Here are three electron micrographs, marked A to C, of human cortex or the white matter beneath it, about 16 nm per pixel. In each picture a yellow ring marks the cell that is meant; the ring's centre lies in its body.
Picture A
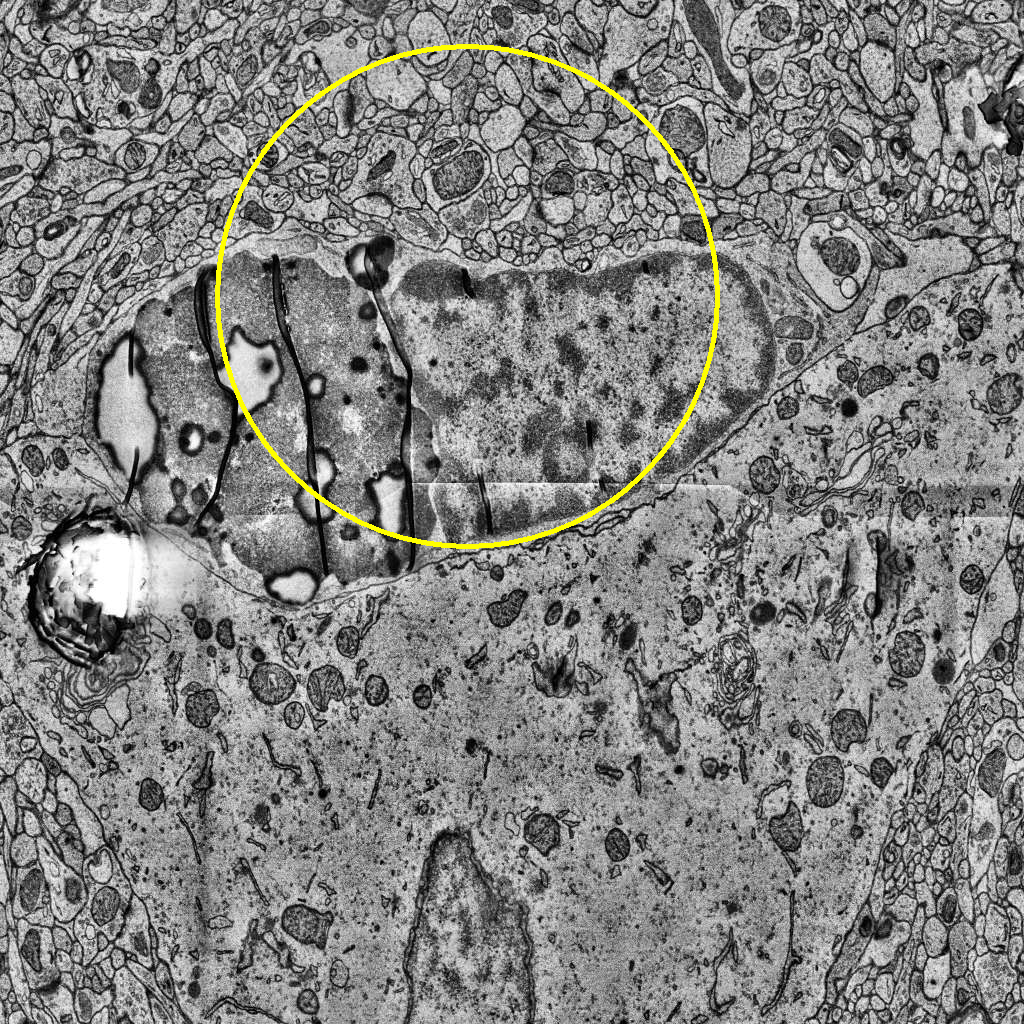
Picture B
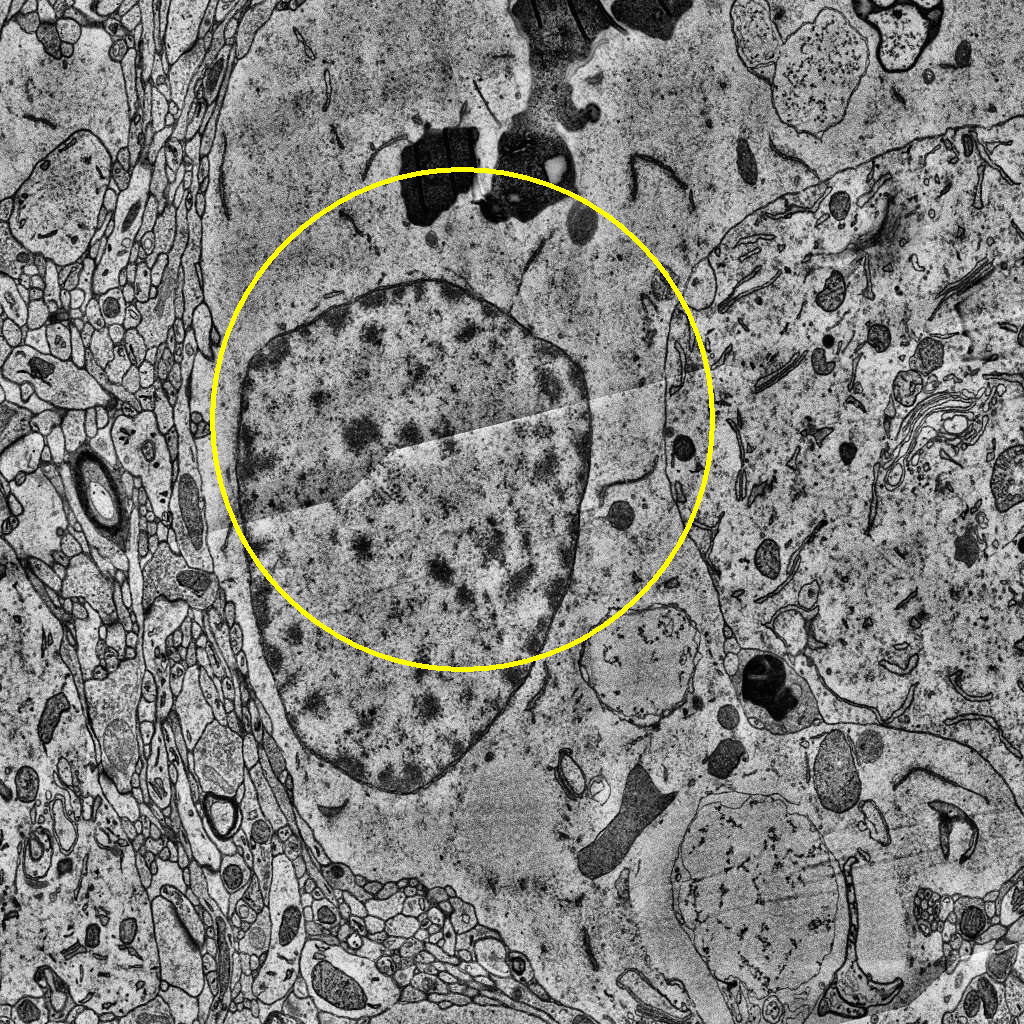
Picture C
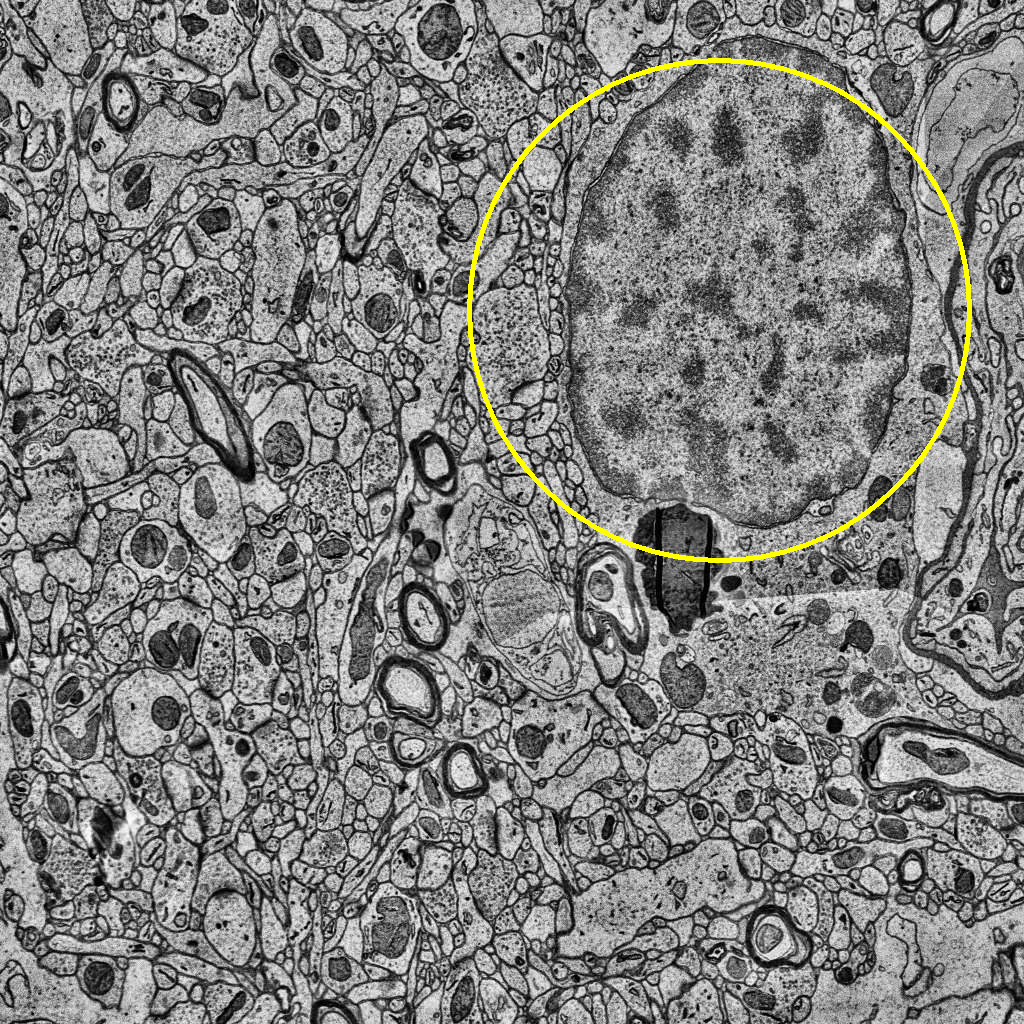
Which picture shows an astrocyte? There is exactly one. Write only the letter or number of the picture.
B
